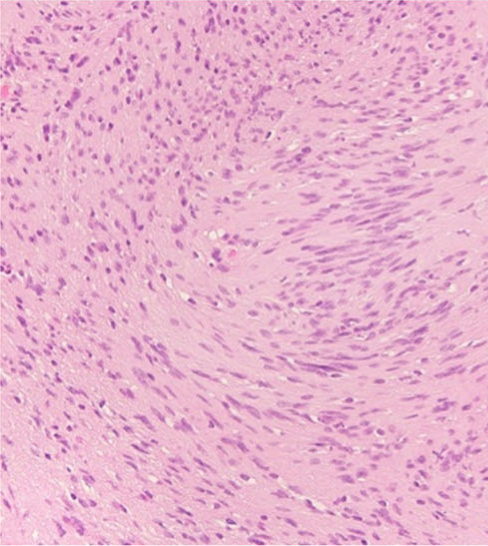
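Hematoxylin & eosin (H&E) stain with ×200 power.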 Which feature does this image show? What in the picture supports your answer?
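Highly cellular area of compactly arranged spindle cells. Little loose or myxoid stroma between the cells.
Antoni A.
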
